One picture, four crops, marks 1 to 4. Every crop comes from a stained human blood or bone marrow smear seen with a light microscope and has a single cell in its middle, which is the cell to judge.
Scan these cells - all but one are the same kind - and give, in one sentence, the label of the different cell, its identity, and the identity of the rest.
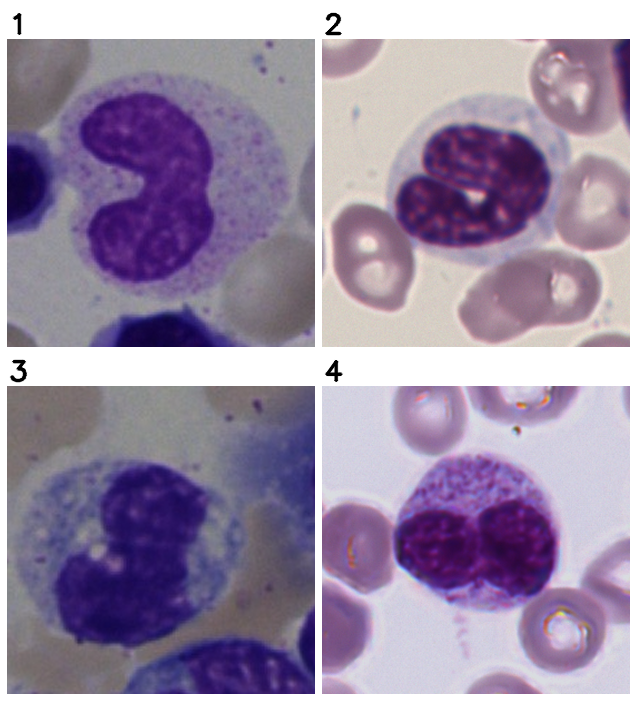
Crop 3 breaks the pattern with a monocyte; all the others show band neutrophils.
